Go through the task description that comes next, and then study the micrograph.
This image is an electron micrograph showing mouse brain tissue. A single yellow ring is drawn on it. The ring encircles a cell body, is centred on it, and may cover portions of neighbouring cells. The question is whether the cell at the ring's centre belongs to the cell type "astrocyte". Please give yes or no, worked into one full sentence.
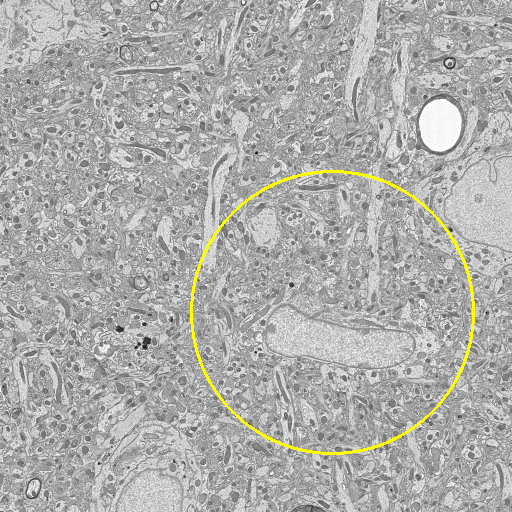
Yes, the cell that the ring is centred on in the micrograph is of this kind.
